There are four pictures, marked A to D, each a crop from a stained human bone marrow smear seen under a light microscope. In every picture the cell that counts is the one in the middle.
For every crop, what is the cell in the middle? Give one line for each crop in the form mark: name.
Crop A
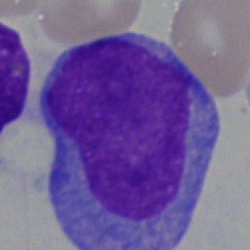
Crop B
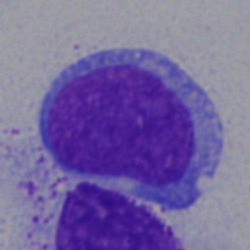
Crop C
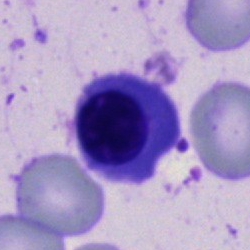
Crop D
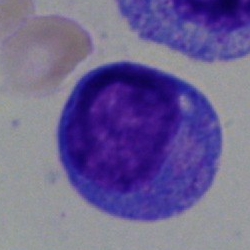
A: blast
B: promyelocyte
C: erythroblast
D: blast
